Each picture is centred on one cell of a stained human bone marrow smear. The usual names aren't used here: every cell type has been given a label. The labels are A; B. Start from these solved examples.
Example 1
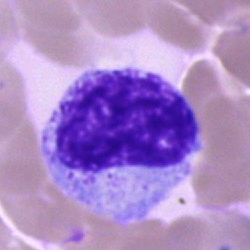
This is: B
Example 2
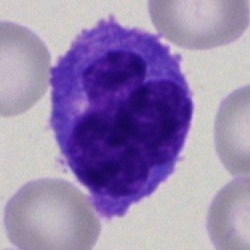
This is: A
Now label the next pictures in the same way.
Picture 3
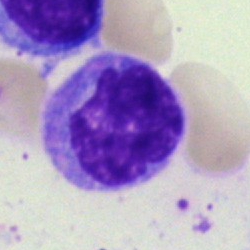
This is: A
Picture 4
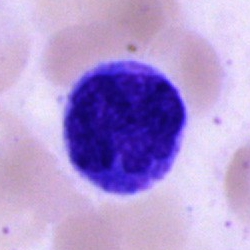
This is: A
